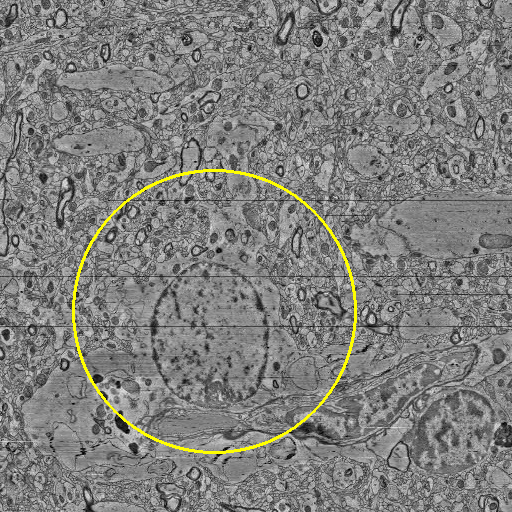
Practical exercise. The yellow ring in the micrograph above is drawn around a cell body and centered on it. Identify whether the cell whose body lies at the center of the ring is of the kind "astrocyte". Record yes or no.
yes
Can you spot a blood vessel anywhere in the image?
Yes, a blood vessel shows in the picture.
